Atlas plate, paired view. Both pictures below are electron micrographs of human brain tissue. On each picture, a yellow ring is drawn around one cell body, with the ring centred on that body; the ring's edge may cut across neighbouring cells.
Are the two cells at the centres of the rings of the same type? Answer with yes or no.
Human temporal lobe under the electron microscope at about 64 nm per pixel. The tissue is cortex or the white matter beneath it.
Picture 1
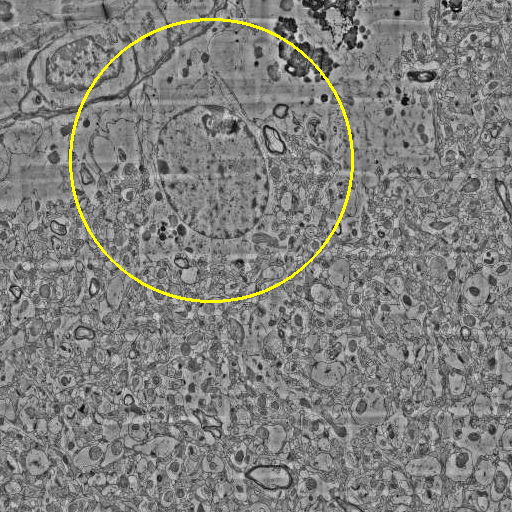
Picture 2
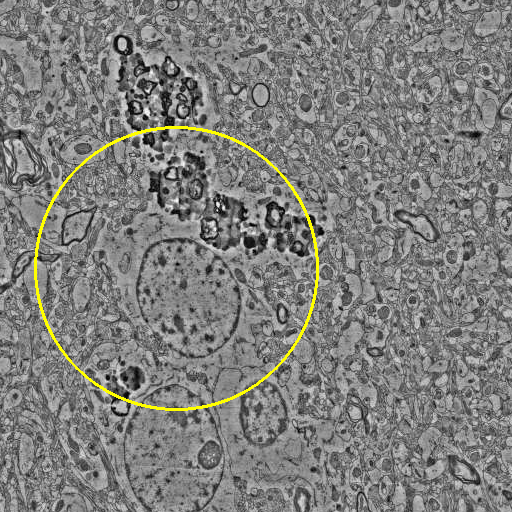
yes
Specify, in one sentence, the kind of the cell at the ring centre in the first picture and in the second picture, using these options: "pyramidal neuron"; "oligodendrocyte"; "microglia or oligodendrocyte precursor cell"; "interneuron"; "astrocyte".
Each cell at the centre of a ring is an astrocyte.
